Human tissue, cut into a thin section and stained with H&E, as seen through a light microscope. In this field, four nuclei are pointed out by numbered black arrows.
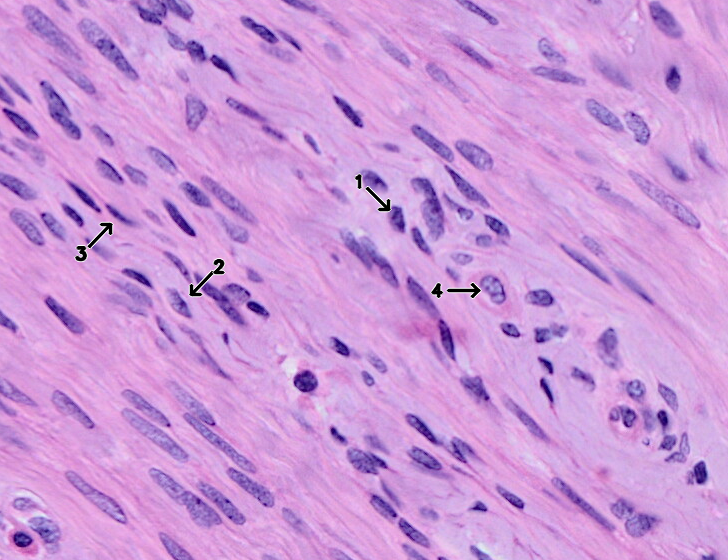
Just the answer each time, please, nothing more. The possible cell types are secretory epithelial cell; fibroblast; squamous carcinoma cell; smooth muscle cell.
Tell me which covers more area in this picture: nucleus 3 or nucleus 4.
4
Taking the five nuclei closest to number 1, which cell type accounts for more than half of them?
fibroblast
